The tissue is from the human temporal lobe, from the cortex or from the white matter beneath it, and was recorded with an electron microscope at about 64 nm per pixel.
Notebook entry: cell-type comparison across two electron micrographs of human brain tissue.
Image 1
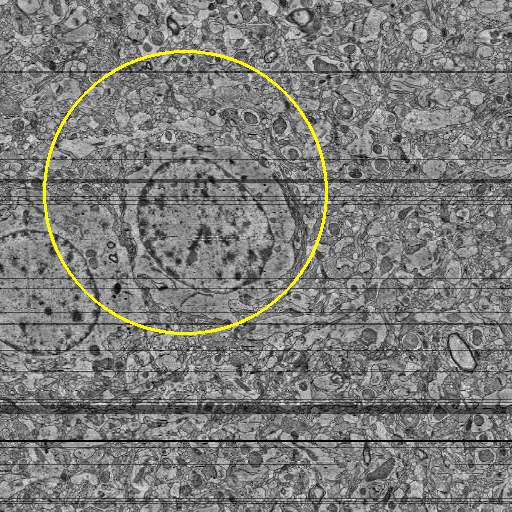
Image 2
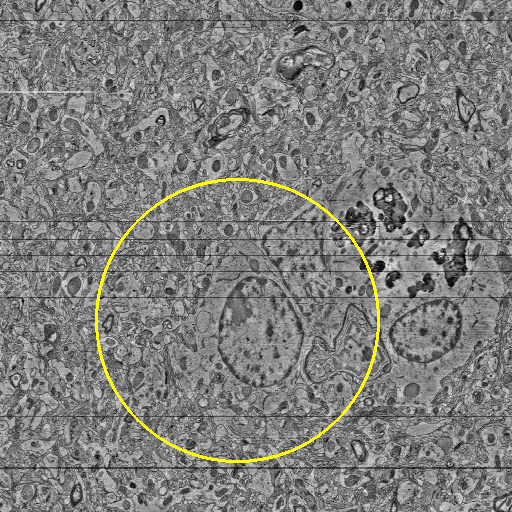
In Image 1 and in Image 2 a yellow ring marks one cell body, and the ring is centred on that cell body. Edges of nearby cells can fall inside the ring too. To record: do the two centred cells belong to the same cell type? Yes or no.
yes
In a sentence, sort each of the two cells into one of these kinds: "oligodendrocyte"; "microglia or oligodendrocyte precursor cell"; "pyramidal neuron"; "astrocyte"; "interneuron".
The ring centre holds an astrocyte in each of the two pictures.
